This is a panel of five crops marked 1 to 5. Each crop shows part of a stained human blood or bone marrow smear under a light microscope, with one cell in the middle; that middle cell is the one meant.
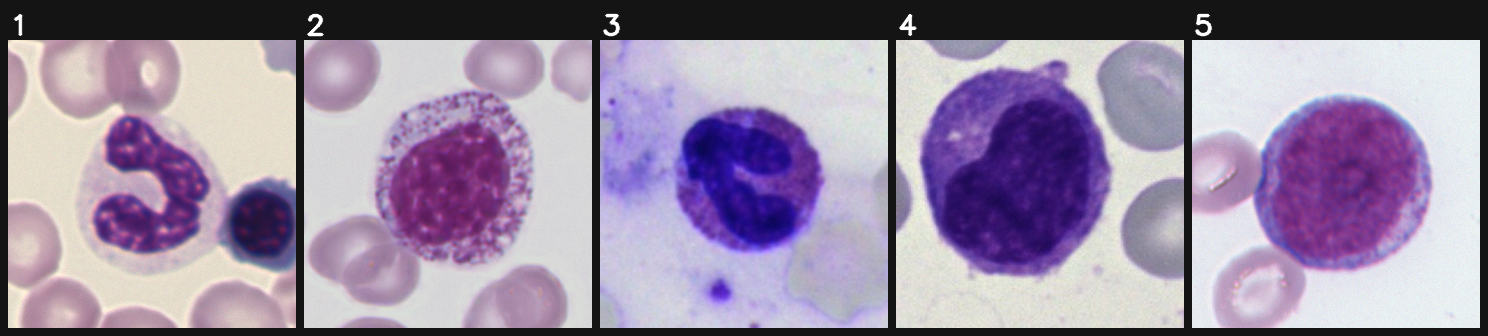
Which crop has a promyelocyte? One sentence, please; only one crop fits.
Selected crop: 5, which is the one that shows a promyelocyte.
